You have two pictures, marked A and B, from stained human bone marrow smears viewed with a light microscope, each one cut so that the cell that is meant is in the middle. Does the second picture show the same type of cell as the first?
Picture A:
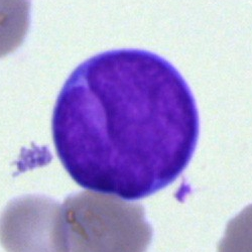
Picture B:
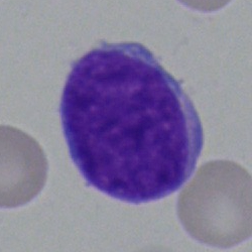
yes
